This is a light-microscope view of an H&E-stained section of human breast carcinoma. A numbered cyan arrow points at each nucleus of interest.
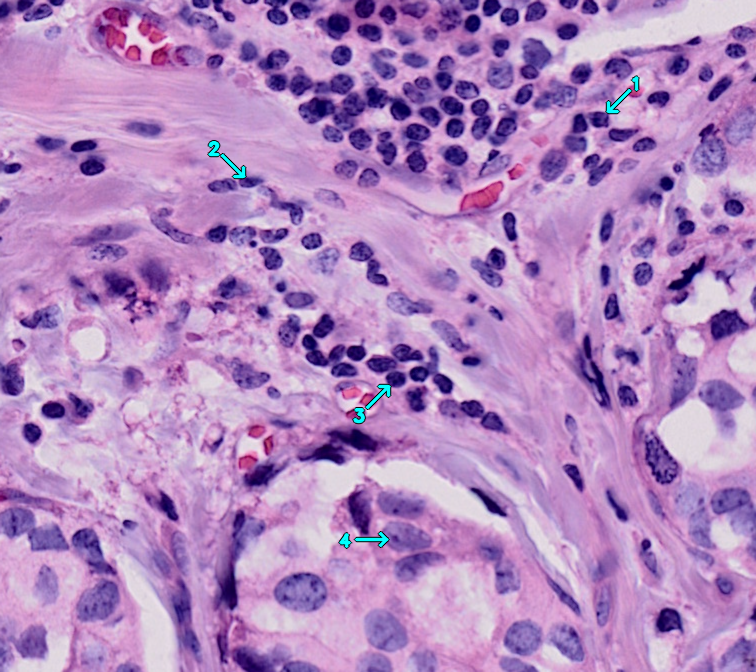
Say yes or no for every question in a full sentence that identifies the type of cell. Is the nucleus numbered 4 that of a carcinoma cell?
Yes, number 4 corresponds to a carcinoma cell.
